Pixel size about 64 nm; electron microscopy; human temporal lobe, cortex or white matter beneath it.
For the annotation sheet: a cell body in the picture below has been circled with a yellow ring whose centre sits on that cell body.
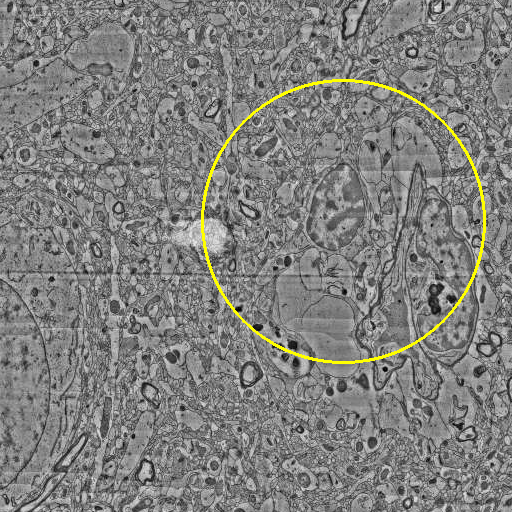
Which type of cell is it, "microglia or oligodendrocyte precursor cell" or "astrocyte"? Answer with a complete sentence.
The circled cell is a microglial cell or oligodendrocyte precursor cell.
